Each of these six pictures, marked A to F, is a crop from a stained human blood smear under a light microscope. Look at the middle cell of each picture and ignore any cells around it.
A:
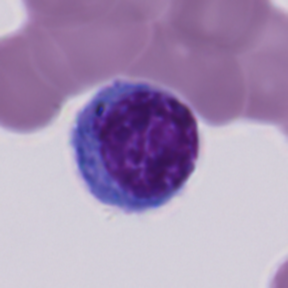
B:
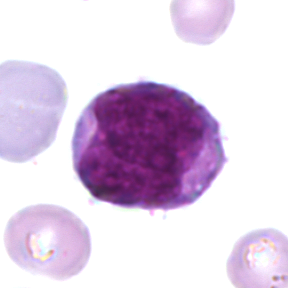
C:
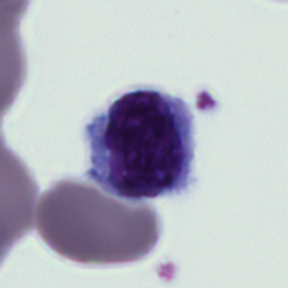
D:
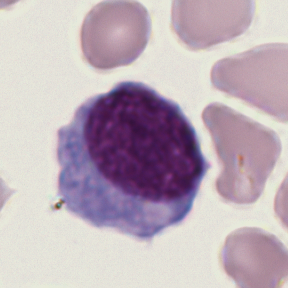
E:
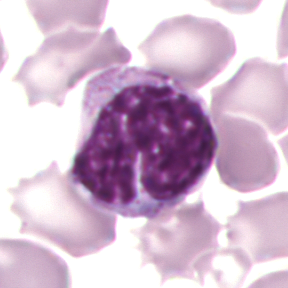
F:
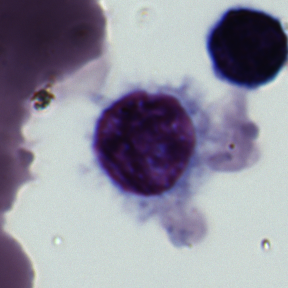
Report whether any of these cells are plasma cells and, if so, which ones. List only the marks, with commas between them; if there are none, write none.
A, C, D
